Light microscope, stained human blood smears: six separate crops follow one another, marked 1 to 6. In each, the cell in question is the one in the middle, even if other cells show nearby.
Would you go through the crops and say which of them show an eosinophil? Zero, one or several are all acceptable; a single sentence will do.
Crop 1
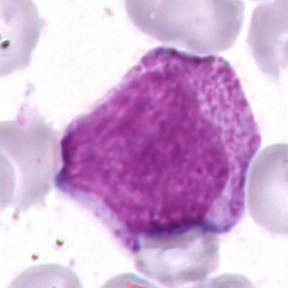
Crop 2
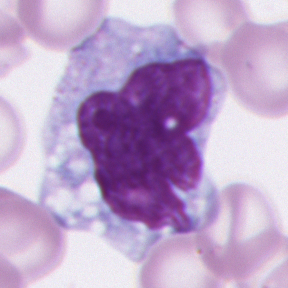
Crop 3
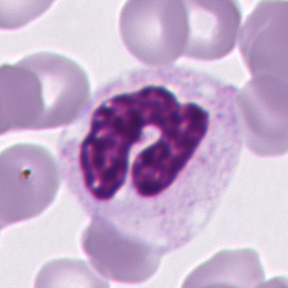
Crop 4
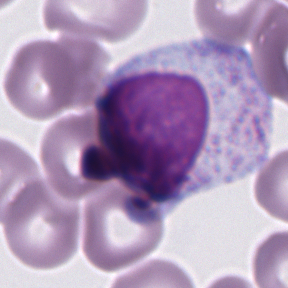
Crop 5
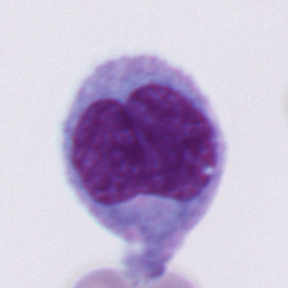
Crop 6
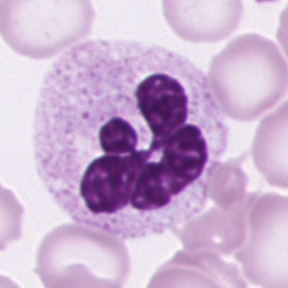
Across all the crops, no central cell is an eosinophil.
